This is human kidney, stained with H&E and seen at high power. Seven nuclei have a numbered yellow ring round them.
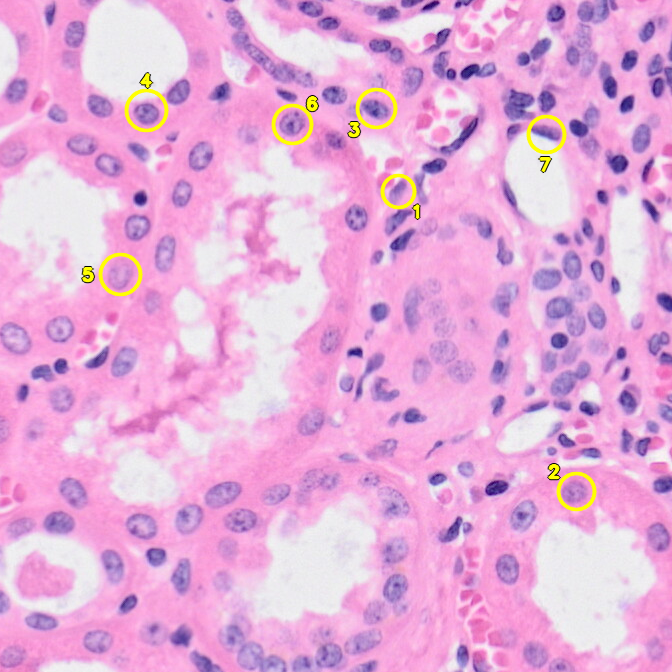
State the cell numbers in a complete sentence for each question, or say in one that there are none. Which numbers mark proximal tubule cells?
The cells to which the numbers 2, 5 and 6 refer are proximal tubule cells.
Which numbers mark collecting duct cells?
Only cell 3 should be marked as a collecting duct cell.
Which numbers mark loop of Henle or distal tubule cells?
Exactly one numbered cell is a loop of Henle or distal tubule cell, and that cell is number 4.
